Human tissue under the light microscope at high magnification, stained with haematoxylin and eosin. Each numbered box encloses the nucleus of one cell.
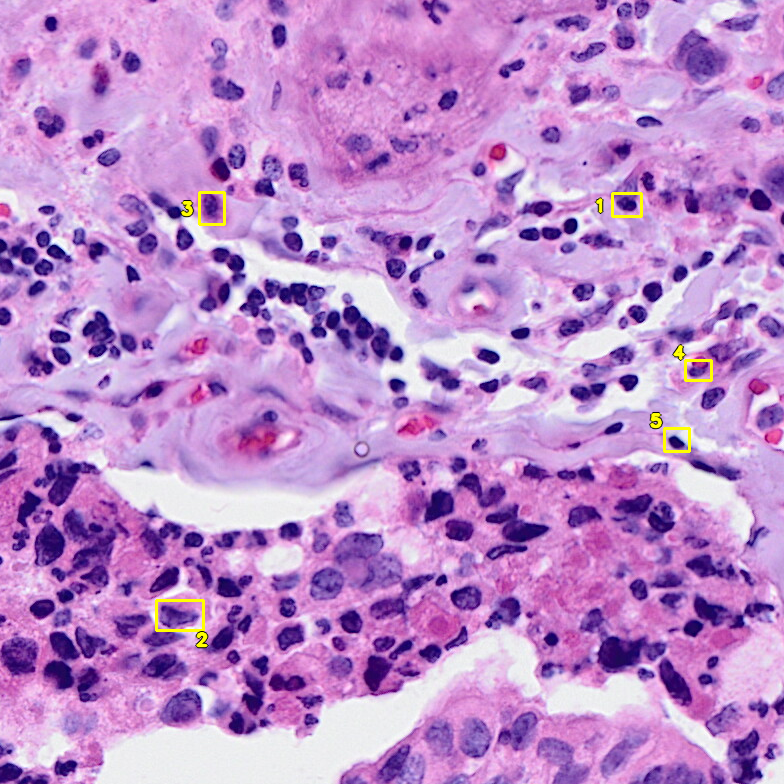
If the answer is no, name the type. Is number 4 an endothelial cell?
Yes.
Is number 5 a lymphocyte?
Yes.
